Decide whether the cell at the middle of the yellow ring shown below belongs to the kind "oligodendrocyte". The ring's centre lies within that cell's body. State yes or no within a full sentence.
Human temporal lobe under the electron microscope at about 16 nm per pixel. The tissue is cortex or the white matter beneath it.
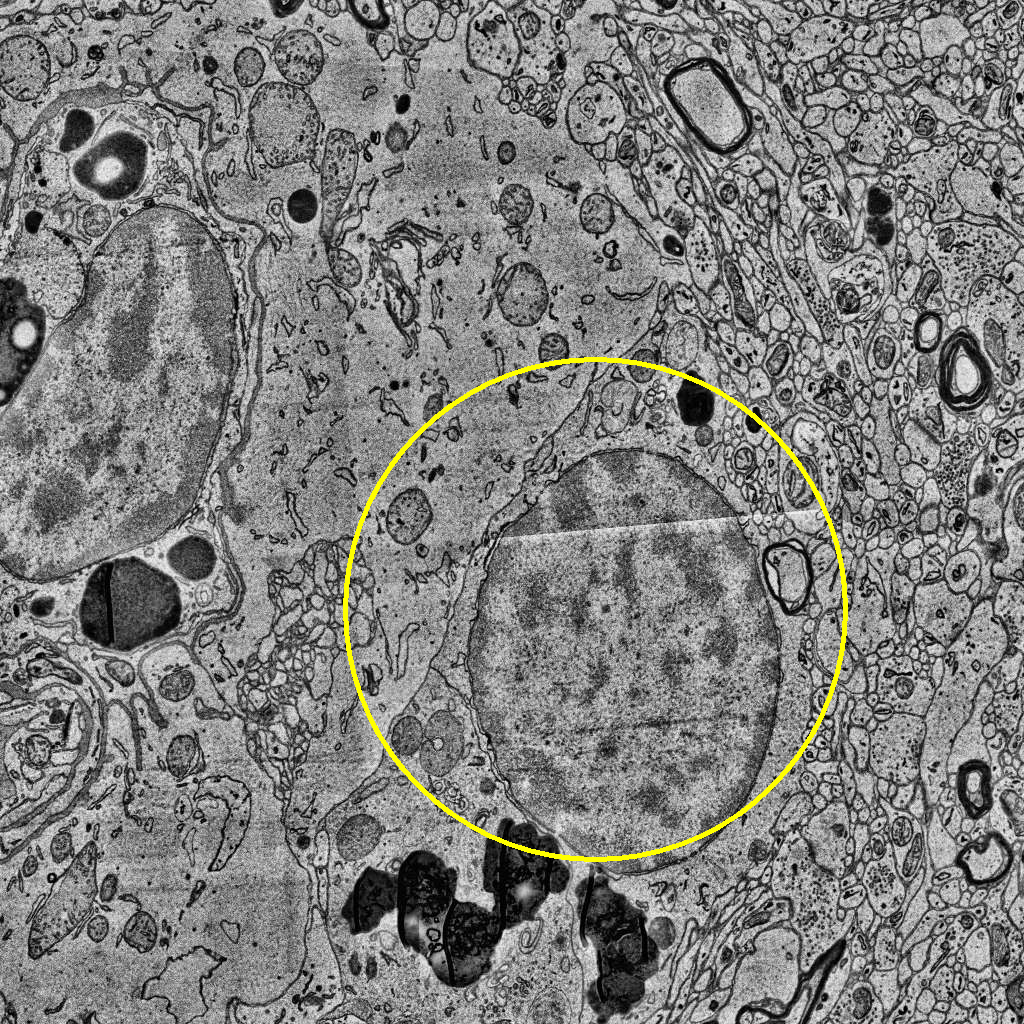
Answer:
Yes, the cell whose body lies at the ring's centre in the picture belongs to that kind.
